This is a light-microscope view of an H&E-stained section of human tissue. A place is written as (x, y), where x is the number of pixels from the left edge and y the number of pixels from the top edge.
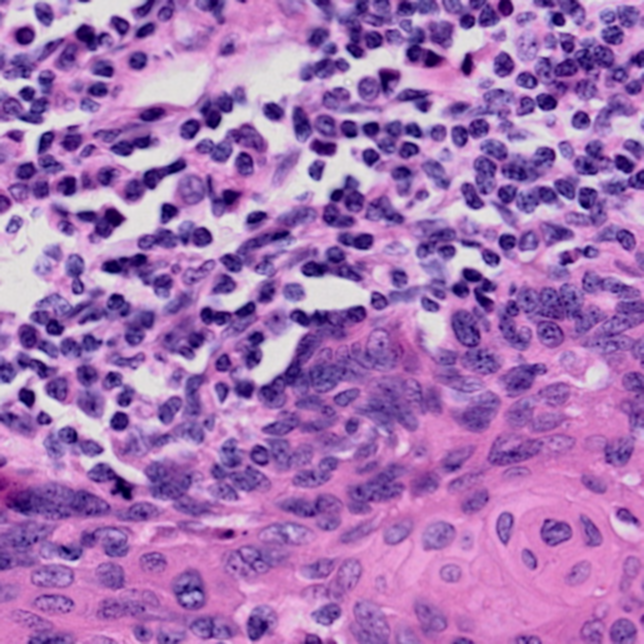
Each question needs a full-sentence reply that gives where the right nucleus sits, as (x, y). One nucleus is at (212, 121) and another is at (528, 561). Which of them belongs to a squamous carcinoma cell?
The member of the pair belonging to a squamous carcinoma cell is the nucleus at (528, 561).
